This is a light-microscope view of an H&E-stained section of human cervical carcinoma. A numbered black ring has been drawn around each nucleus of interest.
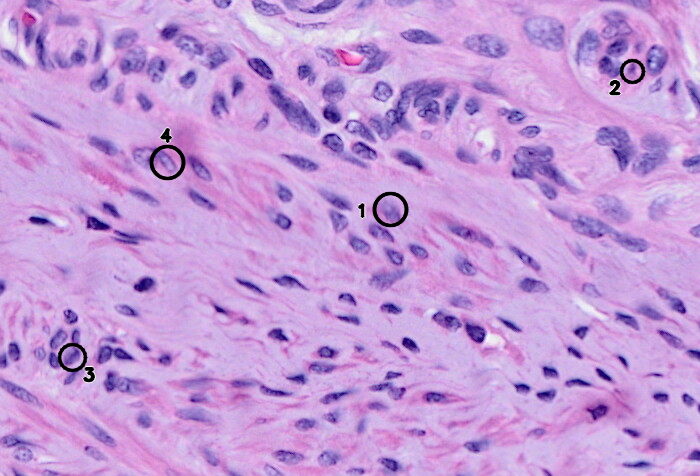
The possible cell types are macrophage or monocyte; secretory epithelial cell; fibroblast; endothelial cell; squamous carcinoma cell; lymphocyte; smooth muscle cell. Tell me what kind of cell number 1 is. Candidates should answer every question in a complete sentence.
Marked with the number 1, this cell is a smooth muscle cell.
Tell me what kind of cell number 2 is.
The cell tagged with 2 in this tissue section is an endothelial cell.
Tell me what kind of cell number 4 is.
At number 4, the marked cell is a smooth muscle cell.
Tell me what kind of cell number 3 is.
The cell tagged with 3 in this tissue section is a smooth muscle cell.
